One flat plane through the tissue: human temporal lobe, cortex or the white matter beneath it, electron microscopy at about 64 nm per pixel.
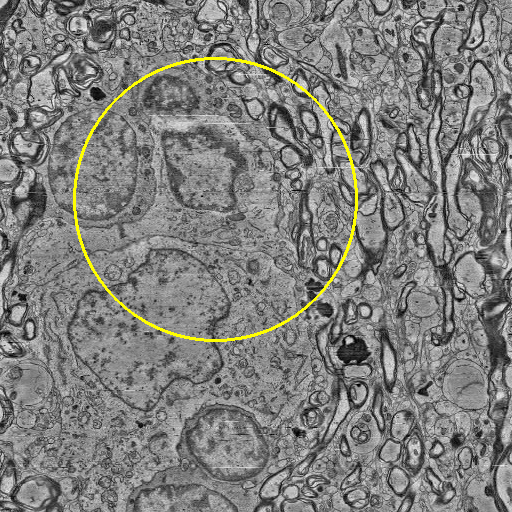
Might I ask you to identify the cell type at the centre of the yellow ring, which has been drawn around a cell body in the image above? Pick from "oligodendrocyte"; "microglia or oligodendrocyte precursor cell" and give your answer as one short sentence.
The centre of the ring falls on a microglial cell or oligodendrocyte precursor cell.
